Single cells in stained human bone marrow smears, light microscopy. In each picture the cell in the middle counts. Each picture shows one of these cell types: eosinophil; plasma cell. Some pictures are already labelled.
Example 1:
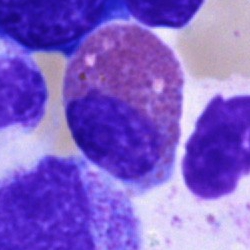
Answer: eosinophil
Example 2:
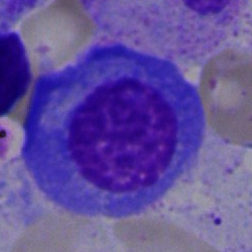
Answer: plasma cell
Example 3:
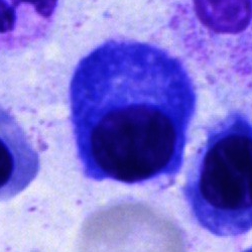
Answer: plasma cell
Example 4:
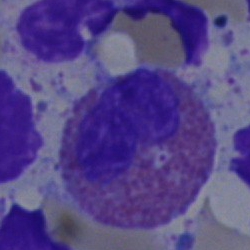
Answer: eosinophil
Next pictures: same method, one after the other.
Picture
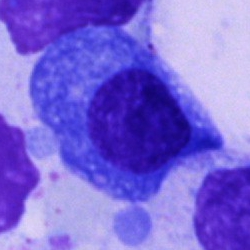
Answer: plasma cell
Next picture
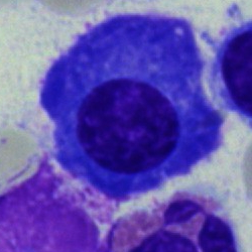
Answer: plasma cell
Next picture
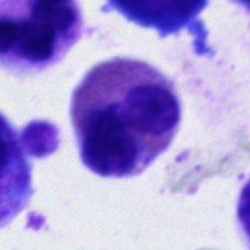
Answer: eosinophil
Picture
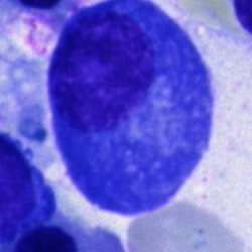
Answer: plasma cell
